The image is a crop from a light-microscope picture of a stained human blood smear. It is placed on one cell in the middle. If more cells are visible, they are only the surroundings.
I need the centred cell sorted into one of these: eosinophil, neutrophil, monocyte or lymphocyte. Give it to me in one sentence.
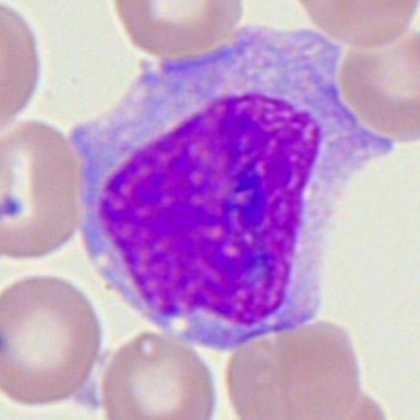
The cell at the heart of this crop is a monocyte.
